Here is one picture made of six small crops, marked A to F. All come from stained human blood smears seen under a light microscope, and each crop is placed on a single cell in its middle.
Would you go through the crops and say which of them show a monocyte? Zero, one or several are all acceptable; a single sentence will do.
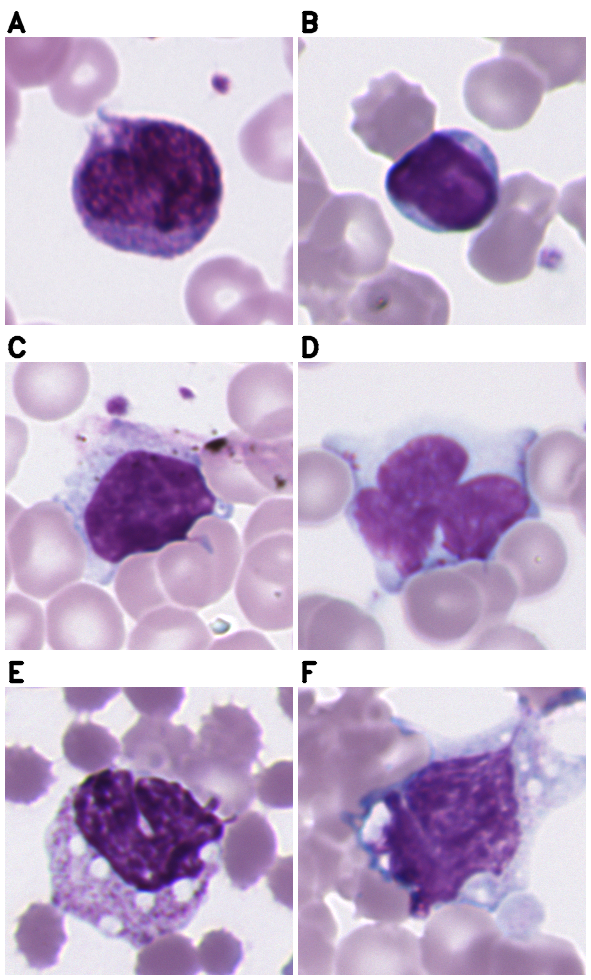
Shown at the centre of crops A and F are monocytes.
